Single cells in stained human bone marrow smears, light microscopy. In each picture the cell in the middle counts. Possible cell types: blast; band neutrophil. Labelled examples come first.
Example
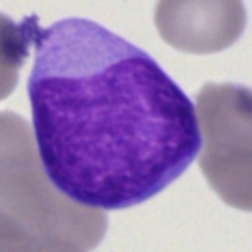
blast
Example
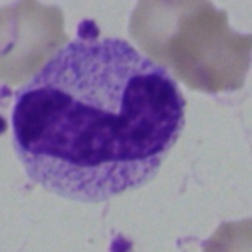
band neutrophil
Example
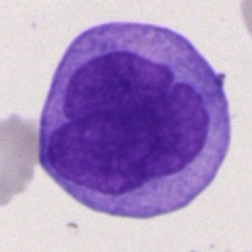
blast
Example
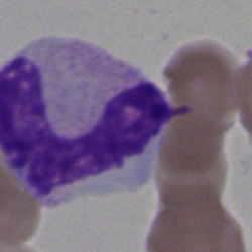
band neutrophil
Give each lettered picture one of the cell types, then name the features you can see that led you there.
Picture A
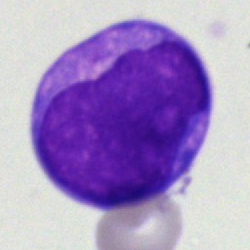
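blast. Evidence: The nucleus fills most of the cell.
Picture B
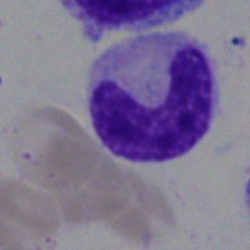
band neutrophil. Evidence: The chromatin is dark purple and coarsely clumped.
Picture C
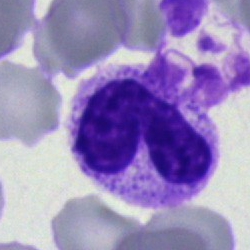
band neutrophil. Evidence: The chromatin is dark purple and coarsely clumped.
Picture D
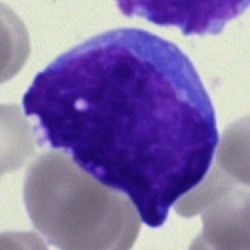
blast. Evidence: The nucleus fills most of the cell and lies toward the lower left.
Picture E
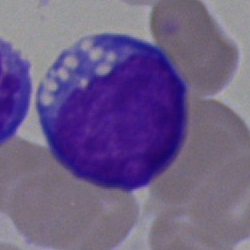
blast. Evidence: The cytoplasm is a narrow rim that is widest at the upper left.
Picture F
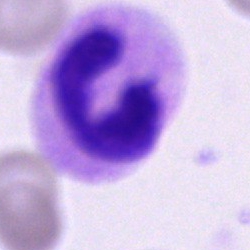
band neutrophil. Evidence: The nucleus is a thick curved band bent into a C shape that opens toward the upper right.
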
